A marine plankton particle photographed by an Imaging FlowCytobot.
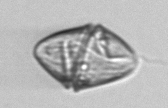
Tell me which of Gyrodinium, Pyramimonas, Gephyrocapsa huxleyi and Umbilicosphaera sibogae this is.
The picture shows Gyrodinium.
